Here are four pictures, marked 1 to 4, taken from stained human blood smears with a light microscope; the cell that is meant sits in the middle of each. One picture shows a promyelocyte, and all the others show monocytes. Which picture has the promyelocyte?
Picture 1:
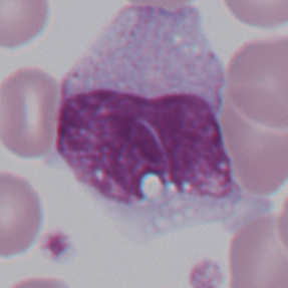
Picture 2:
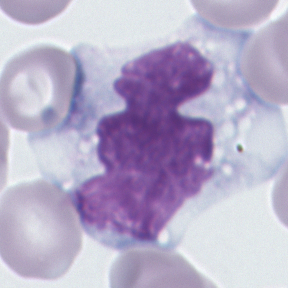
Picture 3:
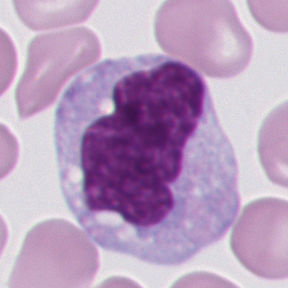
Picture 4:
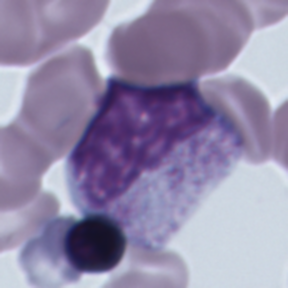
4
